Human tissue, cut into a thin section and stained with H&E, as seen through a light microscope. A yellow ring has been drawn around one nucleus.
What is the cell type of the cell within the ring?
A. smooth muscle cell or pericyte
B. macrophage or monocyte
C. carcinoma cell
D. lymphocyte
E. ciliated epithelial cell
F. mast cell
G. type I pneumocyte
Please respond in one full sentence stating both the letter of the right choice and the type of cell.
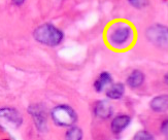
The correct option is F, as the cell within the ring is a mast cell.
